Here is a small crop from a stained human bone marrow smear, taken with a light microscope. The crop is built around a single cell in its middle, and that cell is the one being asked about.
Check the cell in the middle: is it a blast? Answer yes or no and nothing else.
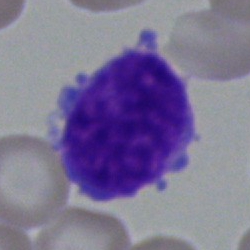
yes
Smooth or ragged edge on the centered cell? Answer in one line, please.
The margin of this cell is irregular, showing raggedness or projections instead of smoothness.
